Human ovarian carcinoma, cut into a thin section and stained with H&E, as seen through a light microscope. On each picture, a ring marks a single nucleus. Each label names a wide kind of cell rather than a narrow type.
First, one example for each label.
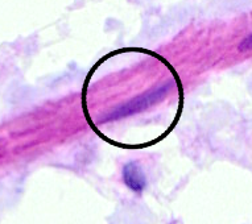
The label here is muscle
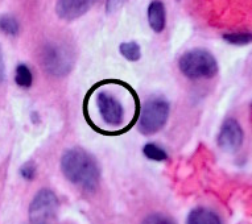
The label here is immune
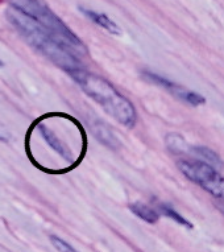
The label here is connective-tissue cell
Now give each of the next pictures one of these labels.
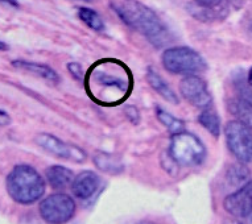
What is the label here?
connective-tissue cell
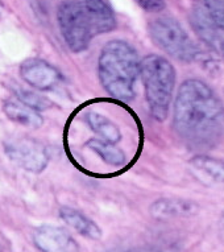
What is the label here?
connective-tissue cell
